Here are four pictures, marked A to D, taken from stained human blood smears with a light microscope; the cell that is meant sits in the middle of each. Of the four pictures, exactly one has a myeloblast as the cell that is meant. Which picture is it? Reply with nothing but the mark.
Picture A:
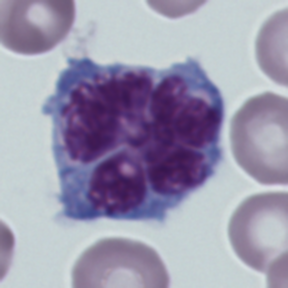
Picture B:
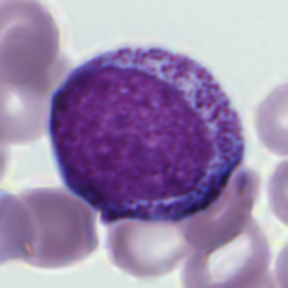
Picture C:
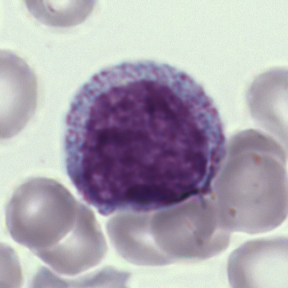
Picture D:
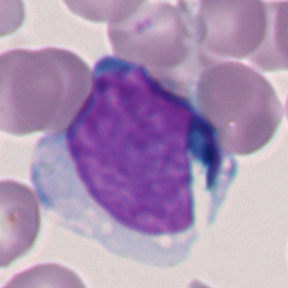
D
